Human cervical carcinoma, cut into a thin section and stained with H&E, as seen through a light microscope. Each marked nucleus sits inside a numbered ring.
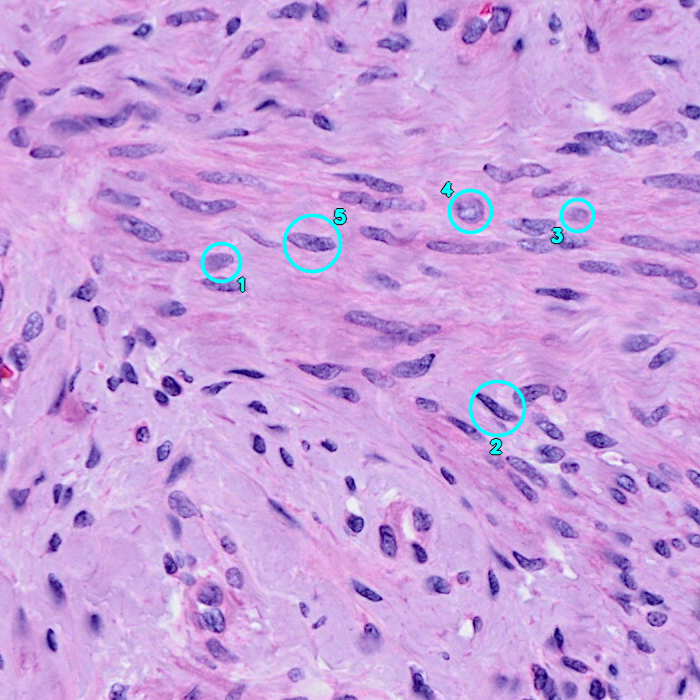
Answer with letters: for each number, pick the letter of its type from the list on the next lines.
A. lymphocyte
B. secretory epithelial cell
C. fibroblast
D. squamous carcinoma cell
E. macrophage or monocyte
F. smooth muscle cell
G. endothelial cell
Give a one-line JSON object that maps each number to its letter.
{"1": "F", "2": "C", "3": "F", "4": "F", "5": "C"}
